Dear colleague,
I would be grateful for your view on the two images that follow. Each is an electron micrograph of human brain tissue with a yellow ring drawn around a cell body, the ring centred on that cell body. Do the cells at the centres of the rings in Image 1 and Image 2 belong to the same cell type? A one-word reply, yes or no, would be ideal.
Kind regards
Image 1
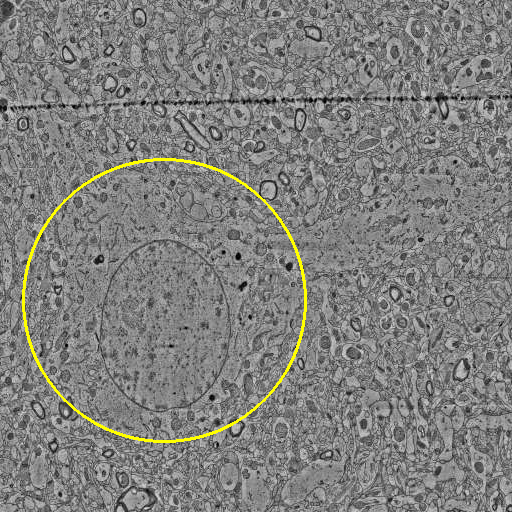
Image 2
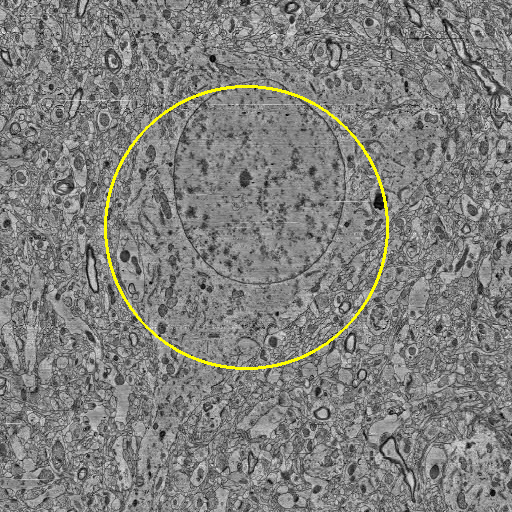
yes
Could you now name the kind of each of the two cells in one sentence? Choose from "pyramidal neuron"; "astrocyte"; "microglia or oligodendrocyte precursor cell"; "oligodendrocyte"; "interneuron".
In the first picture and in the second, the ring is centred on a pyramidal neuron.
